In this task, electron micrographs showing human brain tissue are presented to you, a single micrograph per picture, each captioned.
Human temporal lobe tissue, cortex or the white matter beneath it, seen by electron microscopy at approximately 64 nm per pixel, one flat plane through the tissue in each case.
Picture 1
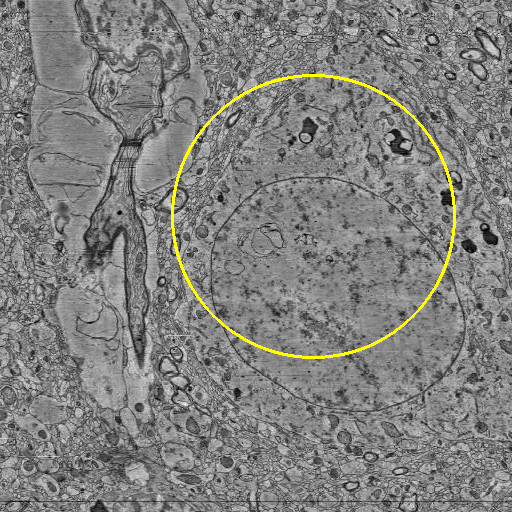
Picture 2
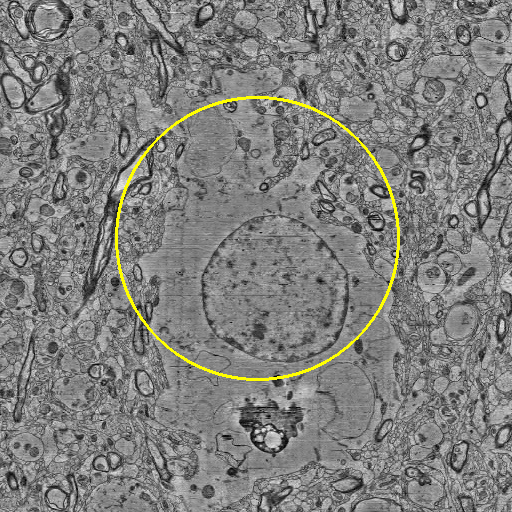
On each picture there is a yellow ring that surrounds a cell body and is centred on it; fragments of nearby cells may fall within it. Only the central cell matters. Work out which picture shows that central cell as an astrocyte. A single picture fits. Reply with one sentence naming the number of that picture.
Of all the pictures, number 2 has the right cell in the centre of its ring.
